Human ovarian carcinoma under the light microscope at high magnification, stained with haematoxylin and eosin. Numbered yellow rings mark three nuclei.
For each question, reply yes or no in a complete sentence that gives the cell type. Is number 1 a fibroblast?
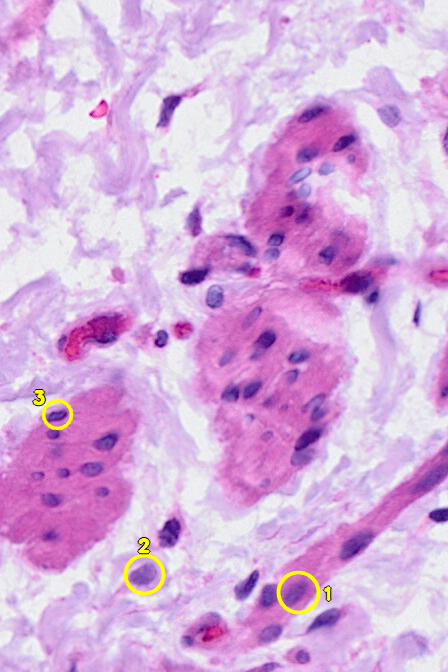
No, cell 1 is correctly identified as a smooth muscle cell and not as a fibroblast.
